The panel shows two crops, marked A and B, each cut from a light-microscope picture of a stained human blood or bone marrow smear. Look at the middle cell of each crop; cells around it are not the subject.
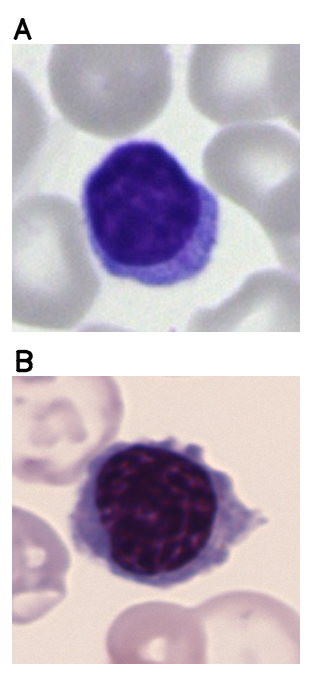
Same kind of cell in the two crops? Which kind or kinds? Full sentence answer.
No, whereas crop A shows a lymphocyte, crop B shows an erythroblast.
